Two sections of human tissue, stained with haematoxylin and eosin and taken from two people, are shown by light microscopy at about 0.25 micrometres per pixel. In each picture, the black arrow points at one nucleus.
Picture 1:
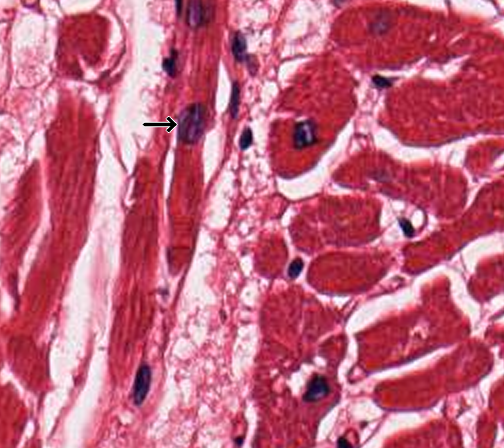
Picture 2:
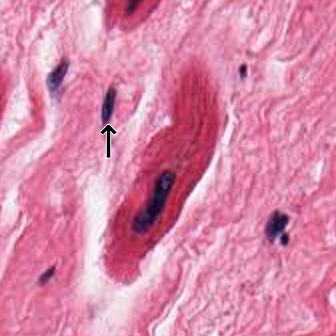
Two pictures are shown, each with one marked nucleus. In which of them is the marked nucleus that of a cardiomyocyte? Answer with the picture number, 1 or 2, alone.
1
